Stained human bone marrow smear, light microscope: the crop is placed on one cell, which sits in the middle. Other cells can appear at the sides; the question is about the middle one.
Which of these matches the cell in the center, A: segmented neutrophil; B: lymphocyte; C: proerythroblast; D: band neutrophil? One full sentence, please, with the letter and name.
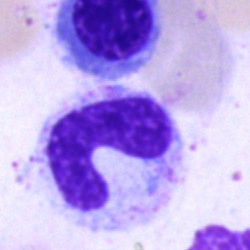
Option D is correct in naming the middle cell a band neutrophil.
